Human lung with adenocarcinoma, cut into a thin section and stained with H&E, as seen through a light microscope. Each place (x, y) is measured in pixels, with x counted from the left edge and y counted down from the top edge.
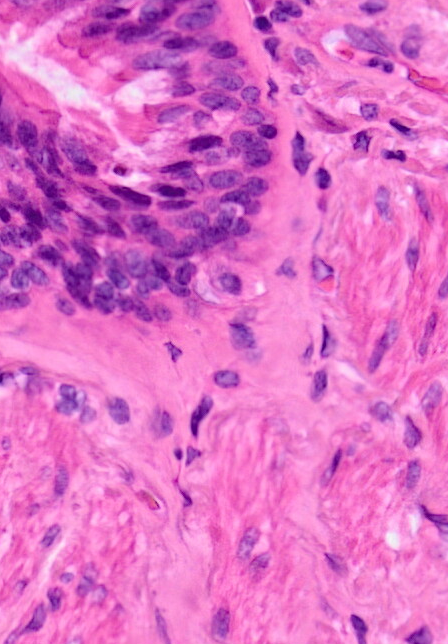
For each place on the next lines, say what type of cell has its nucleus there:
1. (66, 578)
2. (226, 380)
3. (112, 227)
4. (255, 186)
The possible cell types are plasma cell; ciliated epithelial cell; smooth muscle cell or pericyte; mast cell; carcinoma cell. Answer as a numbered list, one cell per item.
1. smooth muscle cell or pericyte
2. mast cell
3. ciliated epithelial cell
4. ciliated epithelial cell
